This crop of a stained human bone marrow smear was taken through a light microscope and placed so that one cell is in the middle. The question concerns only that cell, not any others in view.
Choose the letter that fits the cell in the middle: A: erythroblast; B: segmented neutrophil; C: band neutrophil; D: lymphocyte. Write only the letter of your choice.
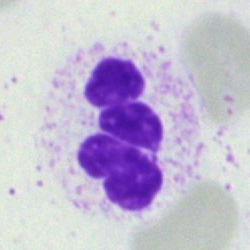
B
